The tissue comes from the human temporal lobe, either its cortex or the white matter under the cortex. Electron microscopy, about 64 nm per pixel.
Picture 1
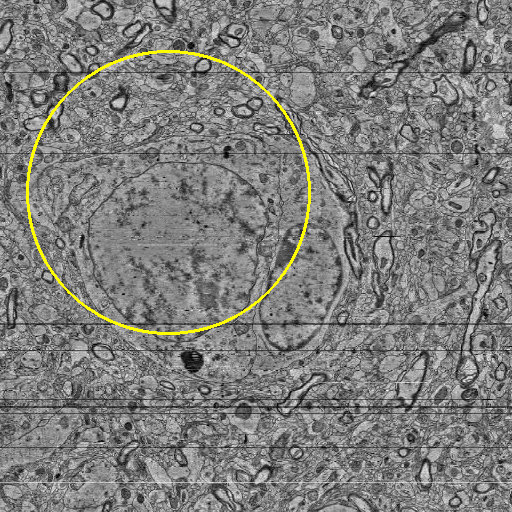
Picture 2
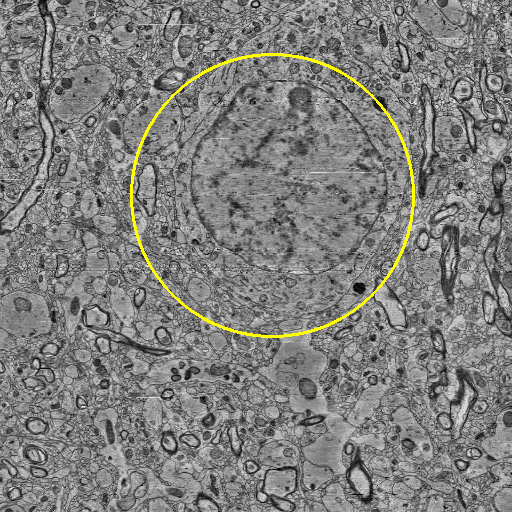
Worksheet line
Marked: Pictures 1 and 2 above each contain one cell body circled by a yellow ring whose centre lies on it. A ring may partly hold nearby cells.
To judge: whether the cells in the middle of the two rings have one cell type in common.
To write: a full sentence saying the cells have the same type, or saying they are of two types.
The cells in the middle of the rings in Picture 1 and Picture 2 are of two types.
